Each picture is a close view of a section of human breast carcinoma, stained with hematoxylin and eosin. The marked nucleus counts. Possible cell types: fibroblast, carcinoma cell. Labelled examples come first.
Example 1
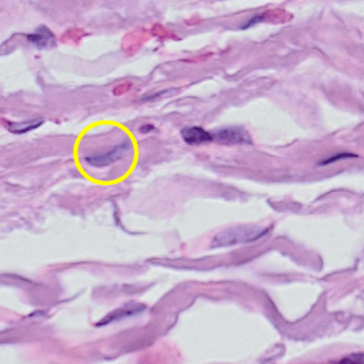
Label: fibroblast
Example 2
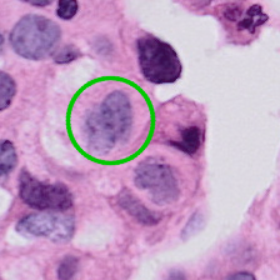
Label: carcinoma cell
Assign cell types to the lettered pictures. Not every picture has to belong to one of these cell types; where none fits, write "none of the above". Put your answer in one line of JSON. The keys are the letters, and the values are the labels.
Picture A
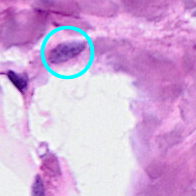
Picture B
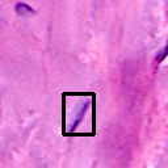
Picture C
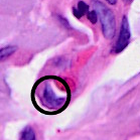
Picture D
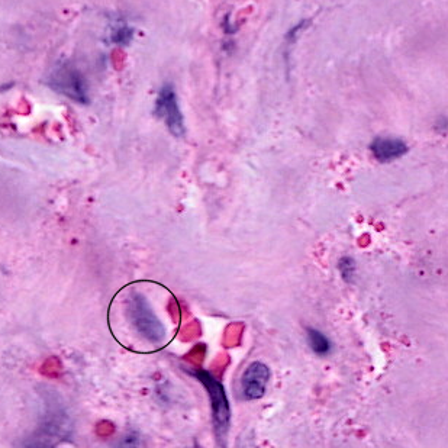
{"A": "fibroblast", "B": "fibroblast", "C": "none of the above", "D": "none of the above"}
